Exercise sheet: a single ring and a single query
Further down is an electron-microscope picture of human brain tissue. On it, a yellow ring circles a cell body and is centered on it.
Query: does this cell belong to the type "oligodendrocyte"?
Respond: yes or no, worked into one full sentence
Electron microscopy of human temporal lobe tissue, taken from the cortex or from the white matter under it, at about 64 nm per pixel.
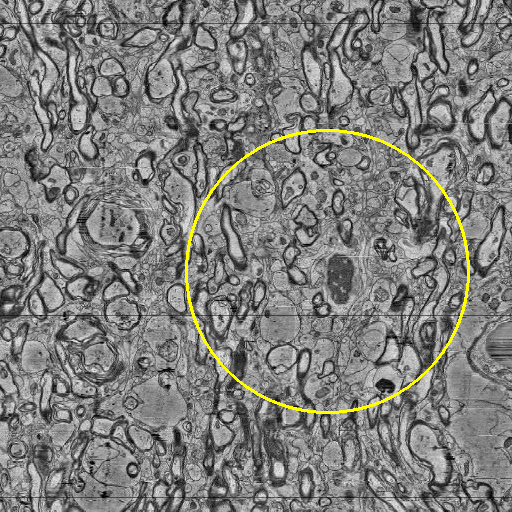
No, this ringed cell, found at the center of the ring in the picture, is of a different type.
